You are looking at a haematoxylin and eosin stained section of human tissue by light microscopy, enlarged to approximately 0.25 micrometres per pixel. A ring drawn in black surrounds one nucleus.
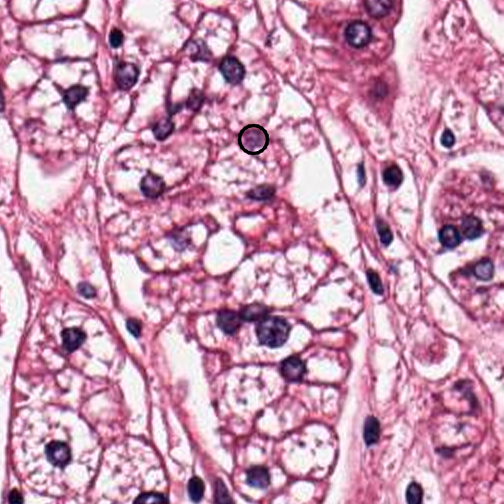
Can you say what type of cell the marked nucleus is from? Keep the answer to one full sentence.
The mark indicates the nucleus of an adrenal cortical cell.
